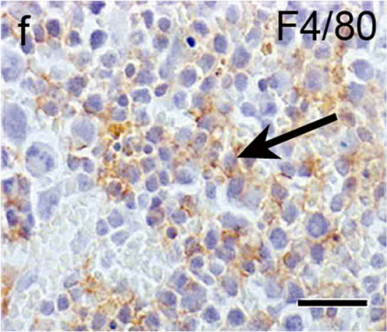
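The brown stain forms small irregular, branching profiles that lie between and around the round cells. The surrounding cells are round with blue nuclei and are closely packed, with the brown profiles threading through them.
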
